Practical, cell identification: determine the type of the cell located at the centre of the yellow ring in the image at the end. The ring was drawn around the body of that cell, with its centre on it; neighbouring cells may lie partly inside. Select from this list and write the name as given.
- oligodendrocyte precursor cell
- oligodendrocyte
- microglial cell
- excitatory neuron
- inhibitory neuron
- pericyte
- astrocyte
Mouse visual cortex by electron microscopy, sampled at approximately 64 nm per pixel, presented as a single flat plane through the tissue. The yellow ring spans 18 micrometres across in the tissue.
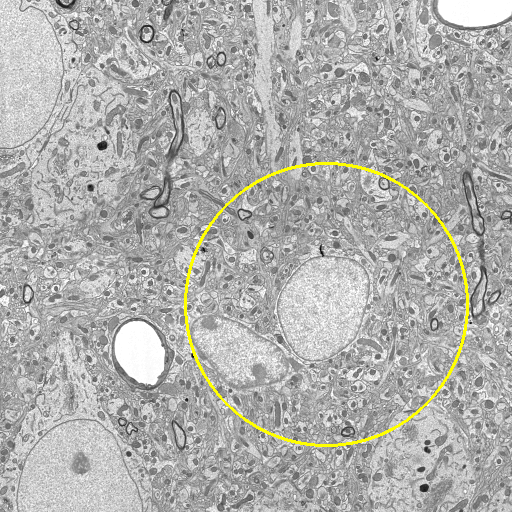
astrocyte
